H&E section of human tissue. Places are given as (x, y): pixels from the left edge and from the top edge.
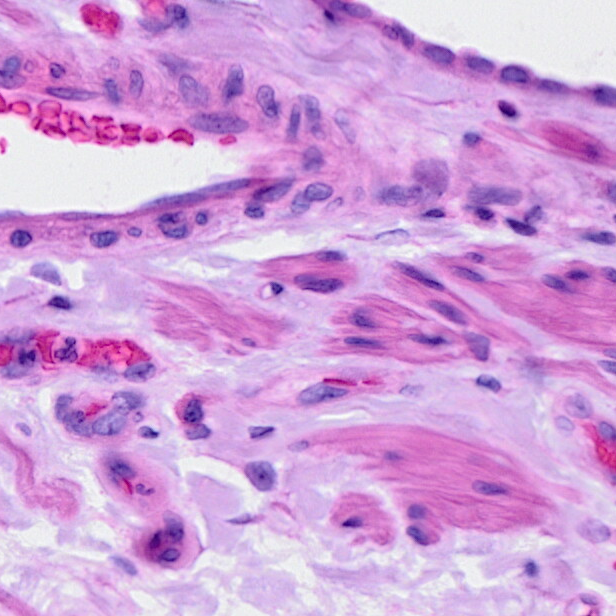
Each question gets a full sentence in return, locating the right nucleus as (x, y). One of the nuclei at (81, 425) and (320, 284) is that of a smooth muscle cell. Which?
It is at (320, 284) that the nucleus of a smooth muscle cell is found.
